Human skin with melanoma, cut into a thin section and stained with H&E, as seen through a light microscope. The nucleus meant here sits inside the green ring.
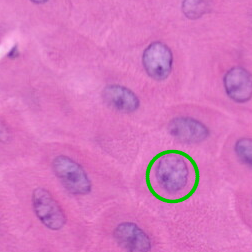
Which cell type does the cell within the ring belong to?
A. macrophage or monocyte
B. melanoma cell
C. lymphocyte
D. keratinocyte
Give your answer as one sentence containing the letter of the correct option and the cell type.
Here the cell within the ring is a keratinocyte; pick option D.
